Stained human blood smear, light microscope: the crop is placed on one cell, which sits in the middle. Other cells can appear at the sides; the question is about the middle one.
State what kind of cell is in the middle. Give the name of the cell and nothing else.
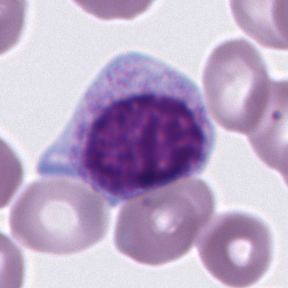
myelocyte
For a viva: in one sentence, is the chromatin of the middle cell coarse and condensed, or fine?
Take a look at the chromatin, which is coarsely clumped.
